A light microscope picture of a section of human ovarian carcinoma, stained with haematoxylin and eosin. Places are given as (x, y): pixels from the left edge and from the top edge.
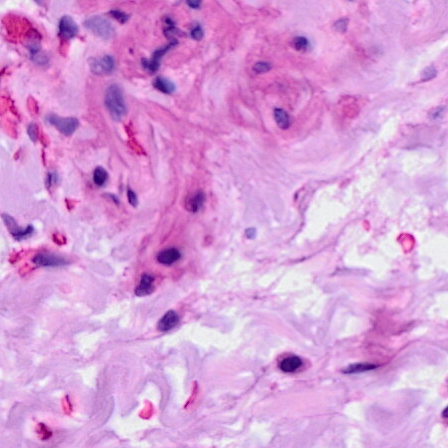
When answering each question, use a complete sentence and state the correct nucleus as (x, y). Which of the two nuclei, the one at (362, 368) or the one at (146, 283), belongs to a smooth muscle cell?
The nucleus at (146, 283) is assigned to a smooth muscle cell.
